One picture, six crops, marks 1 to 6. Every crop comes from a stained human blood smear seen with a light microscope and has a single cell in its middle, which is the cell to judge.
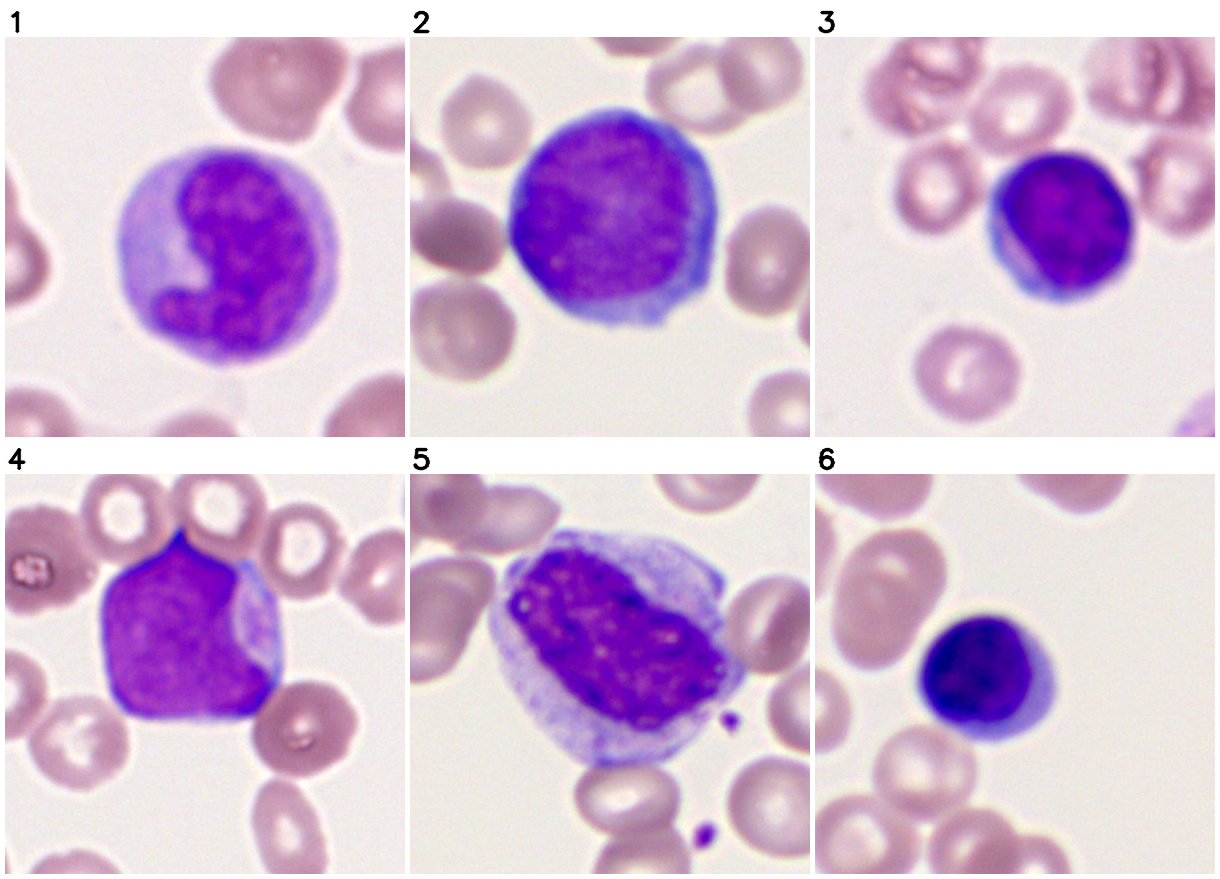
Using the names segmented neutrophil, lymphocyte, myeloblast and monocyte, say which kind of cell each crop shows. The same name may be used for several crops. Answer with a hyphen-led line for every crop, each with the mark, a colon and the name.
- 1: monocyte
- 2: myeloblast
- 3: lymphocyte
- 4: myeloblast
- 5: monocyte
- 6: lymphocyte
